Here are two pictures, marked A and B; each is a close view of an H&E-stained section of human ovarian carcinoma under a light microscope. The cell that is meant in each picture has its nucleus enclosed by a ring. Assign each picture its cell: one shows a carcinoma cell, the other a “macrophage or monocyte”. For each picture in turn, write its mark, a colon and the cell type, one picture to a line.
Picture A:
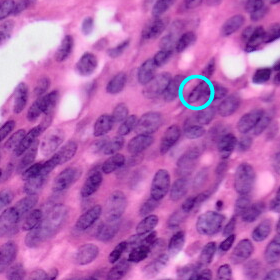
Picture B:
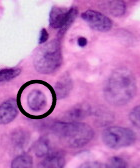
A: carcinoma cell
B: macrophage or monocyte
